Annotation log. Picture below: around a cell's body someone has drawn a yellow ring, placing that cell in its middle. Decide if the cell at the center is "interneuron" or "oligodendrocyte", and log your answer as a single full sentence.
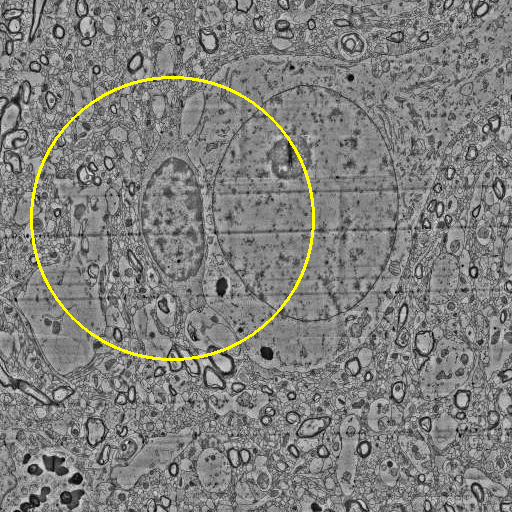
My entry records an oligodendrocyte as the cell sitting at the center of the yellow ring.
